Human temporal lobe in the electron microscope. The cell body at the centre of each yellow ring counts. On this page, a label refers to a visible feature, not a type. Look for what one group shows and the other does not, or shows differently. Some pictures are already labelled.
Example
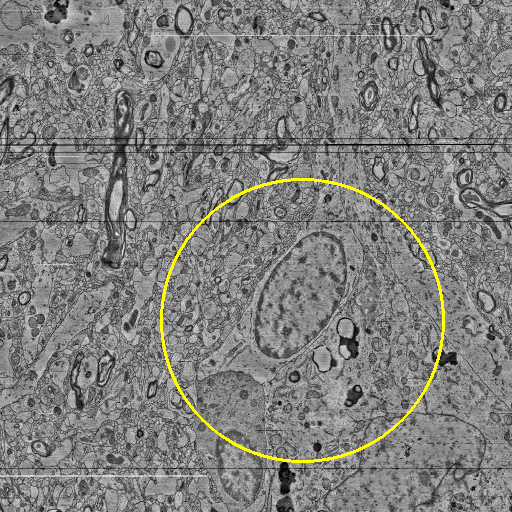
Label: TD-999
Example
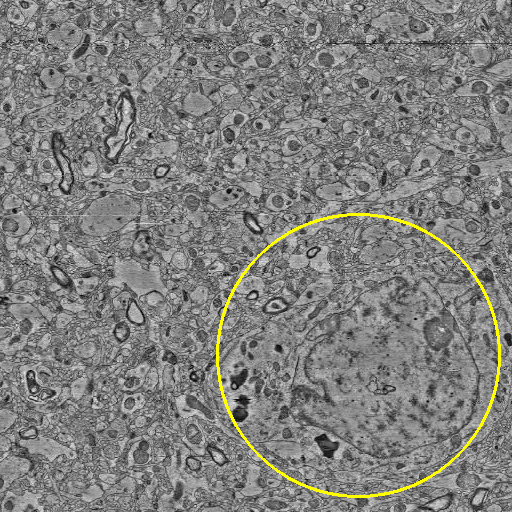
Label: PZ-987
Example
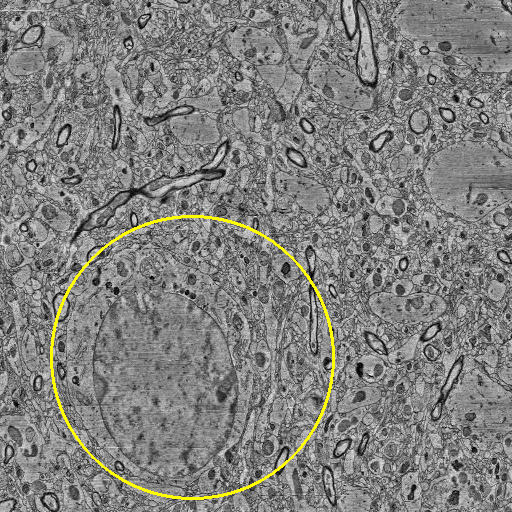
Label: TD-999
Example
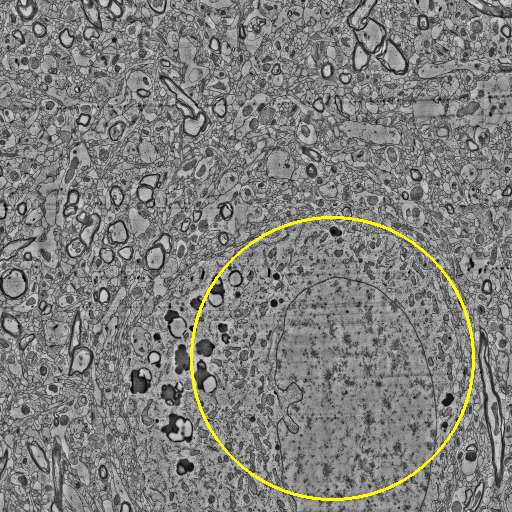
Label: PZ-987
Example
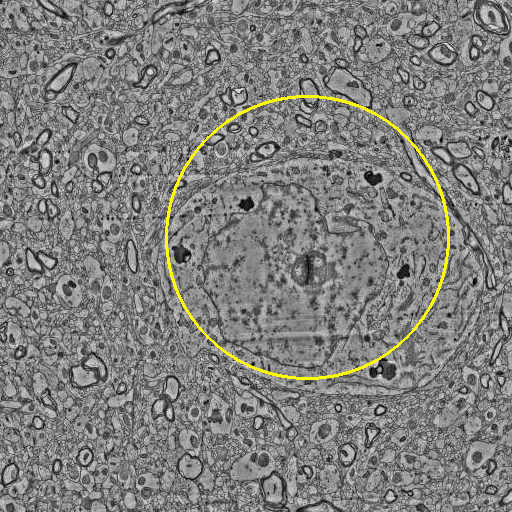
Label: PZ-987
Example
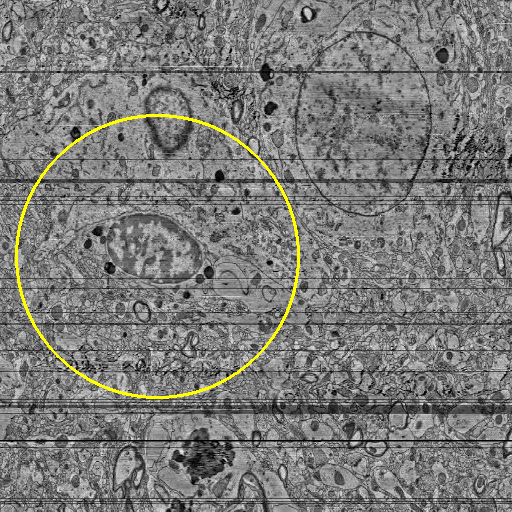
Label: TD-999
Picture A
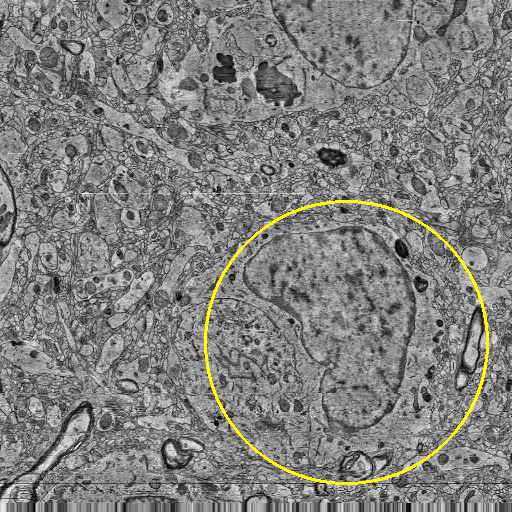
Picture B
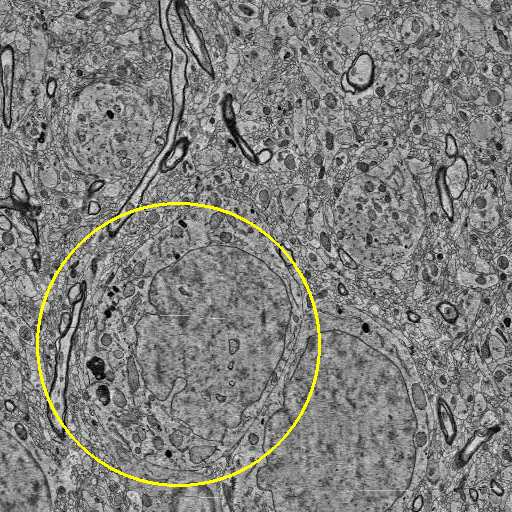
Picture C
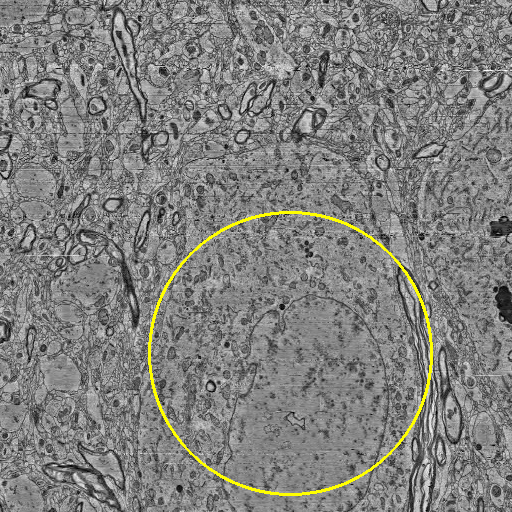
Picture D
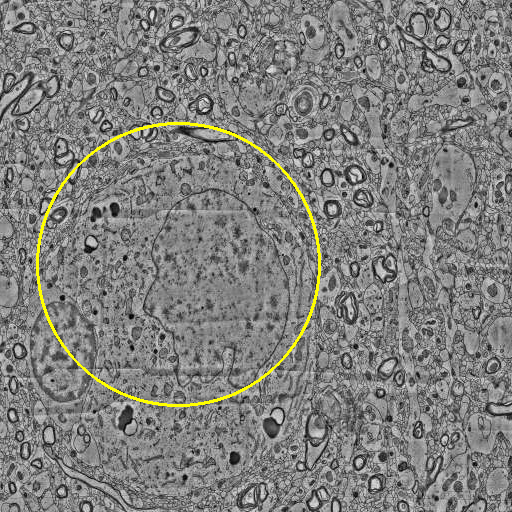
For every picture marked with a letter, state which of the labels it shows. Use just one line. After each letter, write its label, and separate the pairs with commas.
A PZ-987, B PZ-987, C PZ-987, D PZ-987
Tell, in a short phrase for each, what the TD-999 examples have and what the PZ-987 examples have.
TD-999: smooth nuclear envelopes without deep folds; PZ-987: deeply folded or indented nuclear envelopes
